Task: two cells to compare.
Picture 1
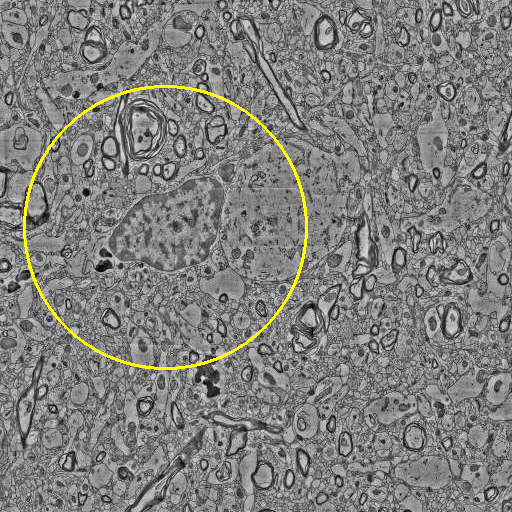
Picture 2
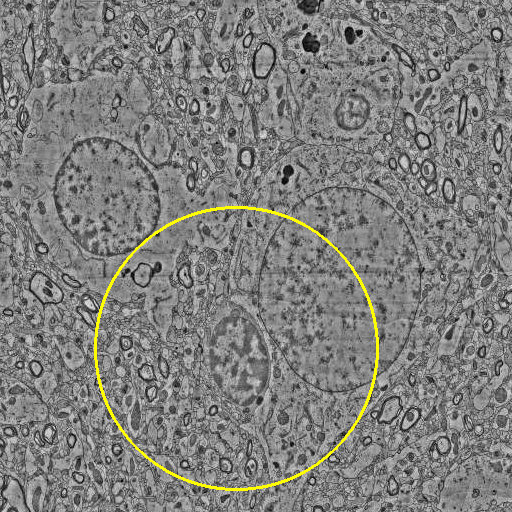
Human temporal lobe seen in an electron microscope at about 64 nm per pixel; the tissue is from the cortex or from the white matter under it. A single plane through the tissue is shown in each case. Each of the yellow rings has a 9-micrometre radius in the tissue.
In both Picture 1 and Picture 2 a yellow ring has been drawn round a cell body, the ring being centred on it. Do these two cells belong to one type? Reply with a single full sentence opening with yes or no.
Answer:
No, the two cells at the ring centres in Picture 1 and Picture 2 are of two types.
